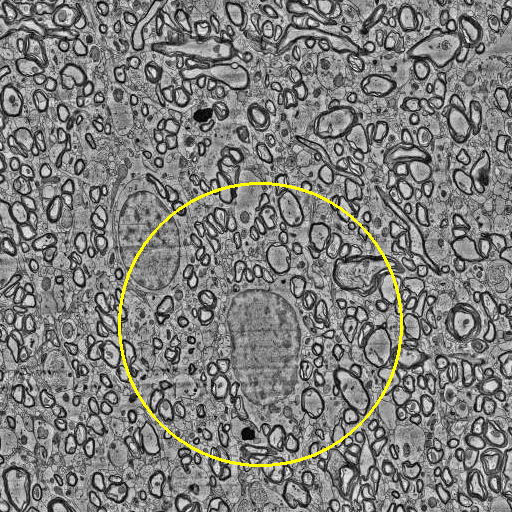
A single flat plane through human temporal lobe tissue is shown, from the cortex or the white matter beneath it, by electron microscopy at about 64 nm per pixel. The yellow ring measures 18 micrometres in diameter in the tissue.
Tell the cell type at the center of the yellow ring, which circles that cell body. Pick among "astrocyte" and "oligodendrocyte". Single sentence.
The ring is centered on the body of an oligodendrocyte.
